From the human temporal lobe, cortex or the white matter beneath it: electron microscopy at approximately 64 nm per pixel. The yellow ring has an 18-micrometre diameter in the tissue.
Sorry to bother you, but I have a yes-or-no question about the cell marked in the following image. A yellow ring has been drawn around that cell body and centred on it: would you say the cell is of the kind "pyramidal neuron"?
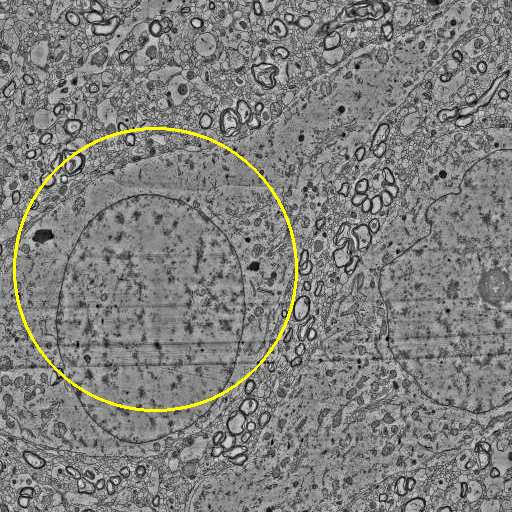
yes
